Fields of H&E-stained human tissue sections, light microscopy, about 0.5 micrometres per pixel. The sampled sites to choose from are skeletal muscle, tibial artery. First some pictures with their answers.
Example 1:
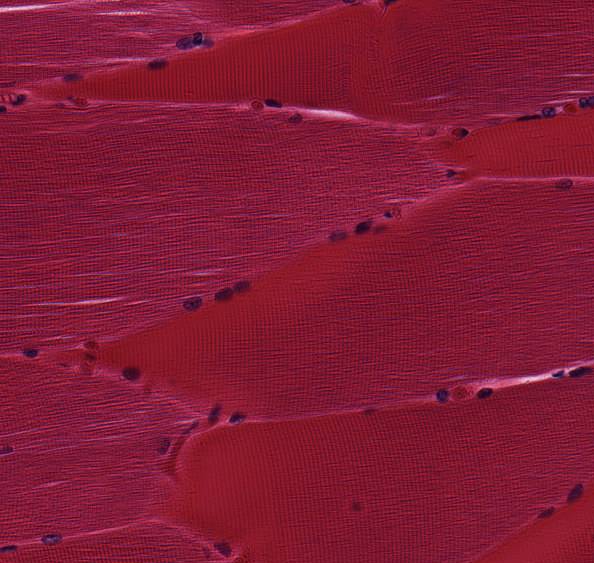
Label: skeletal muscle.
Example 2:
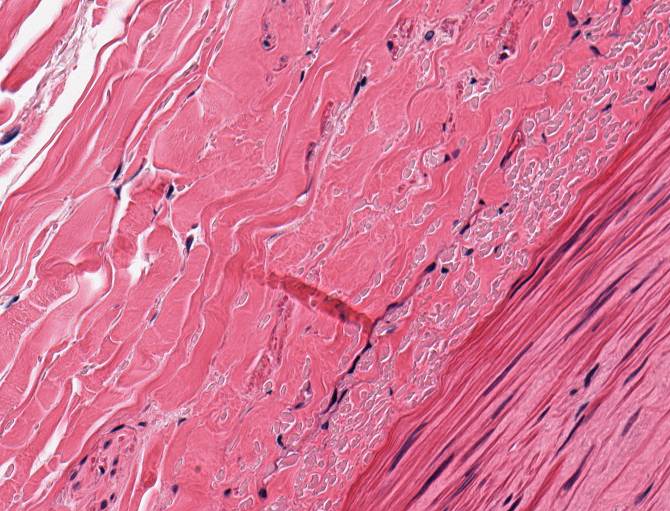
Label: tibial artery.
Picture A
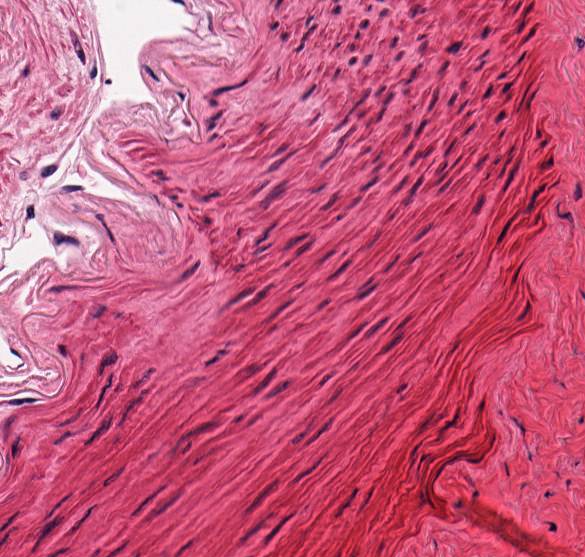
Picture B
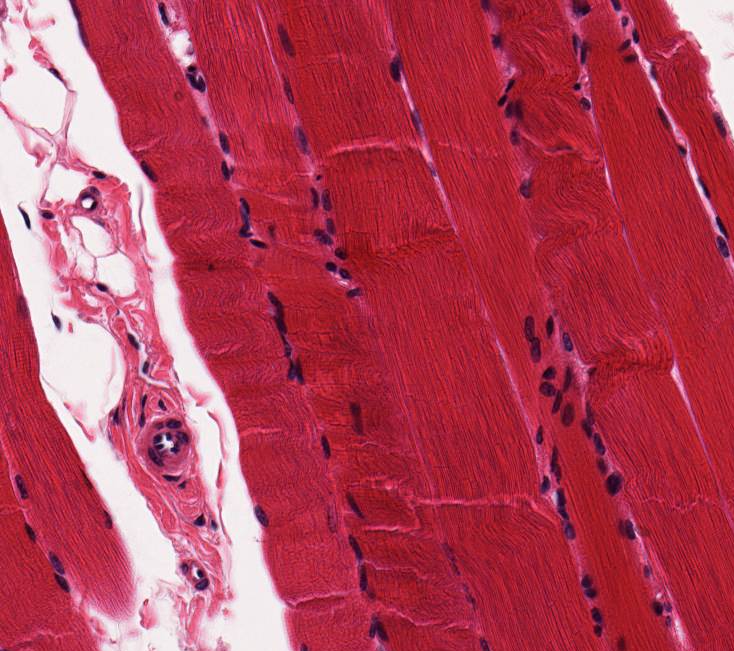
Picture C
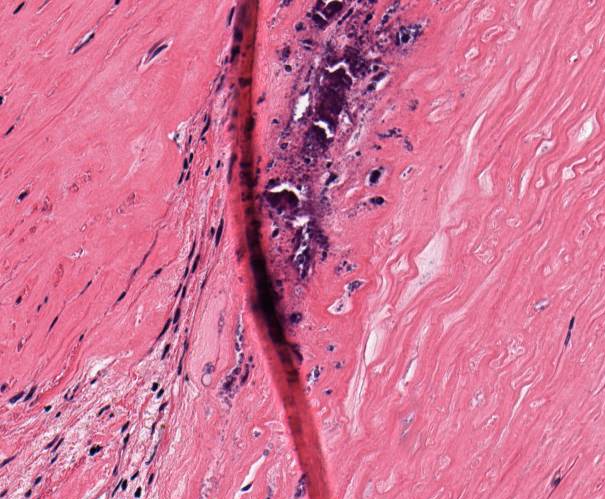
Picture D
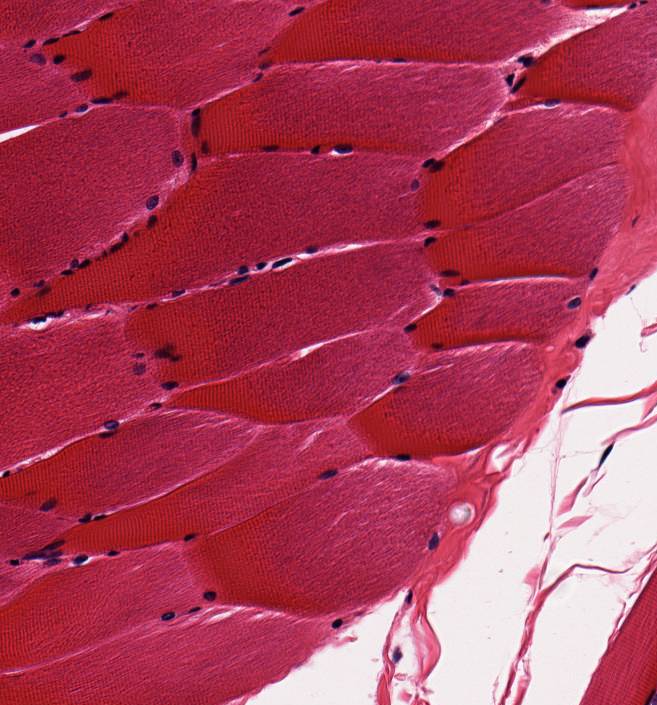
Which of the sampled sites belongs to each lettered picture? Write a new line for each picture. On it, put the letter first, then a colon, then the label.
A: tibial artery.
B: skeletal muscle.
C: tibial artery.
D: skeletal muscle.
